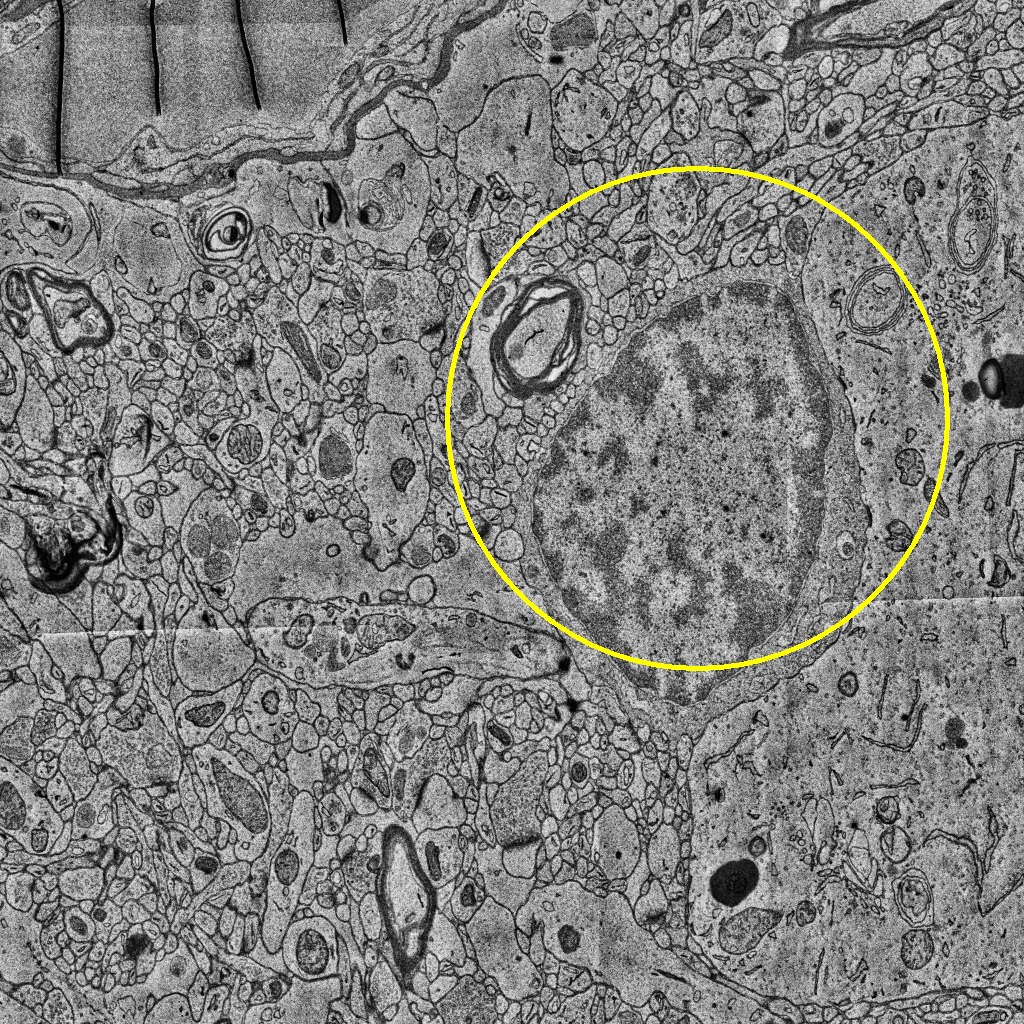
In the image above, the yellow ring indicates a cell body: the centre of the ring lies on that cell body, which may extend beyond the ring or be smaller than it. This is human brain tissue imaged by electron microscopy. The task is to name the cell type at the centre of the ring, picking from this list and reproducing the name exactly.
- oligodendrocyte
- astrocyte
oligodendrocyte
